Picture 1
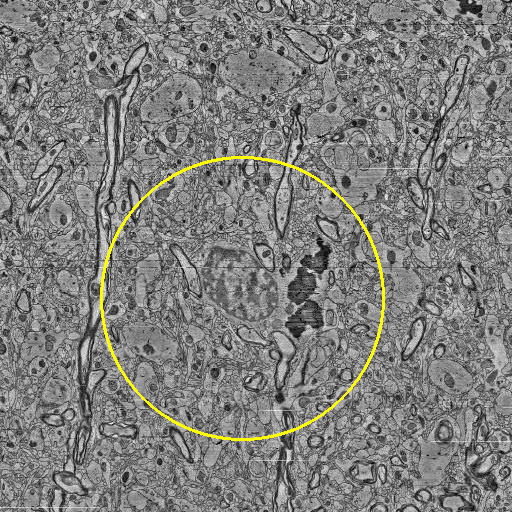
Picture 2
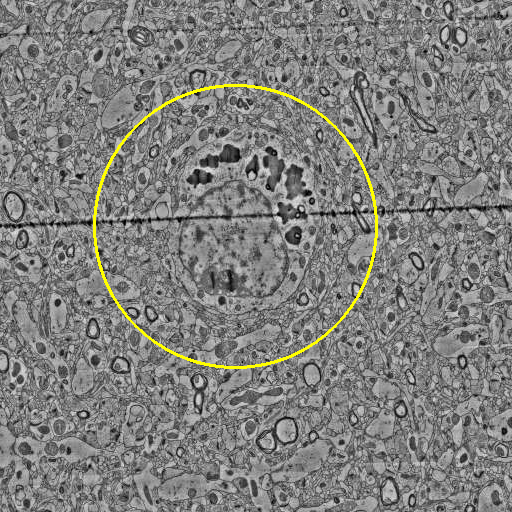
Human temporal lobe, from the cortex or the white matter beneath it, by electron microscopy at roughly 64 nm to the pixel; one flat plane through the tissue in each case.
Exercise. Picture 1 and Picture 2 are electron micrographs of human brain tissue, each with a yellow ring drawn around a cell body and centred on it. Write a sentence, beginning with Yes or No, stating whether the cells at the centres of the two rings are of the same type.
No, the cells at the centres of the rings are of two types.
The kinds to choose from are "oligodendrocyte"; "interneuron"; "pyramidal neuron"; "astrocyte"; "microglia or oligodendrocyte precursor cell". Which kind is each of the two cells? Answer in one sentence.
Of the two, the first cell is an oligodendrocyte and the second cell is an interneuron.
